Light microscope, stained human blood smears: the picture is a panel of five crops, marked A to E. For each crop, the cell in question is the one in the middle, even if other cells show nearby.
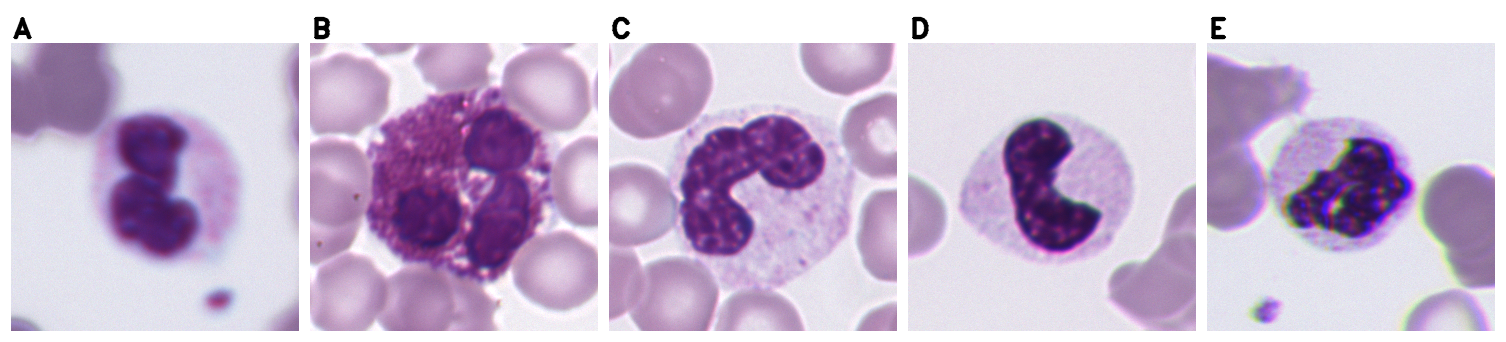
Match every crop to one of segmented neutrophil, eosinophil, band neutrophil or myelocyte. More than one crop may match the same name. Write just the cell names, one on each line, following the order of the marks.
segmented neutrophil
eosinophil
band neutrophil
band neutrophil
segmented neutrophil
